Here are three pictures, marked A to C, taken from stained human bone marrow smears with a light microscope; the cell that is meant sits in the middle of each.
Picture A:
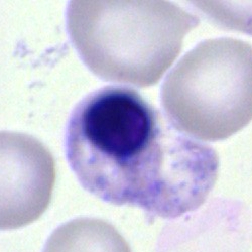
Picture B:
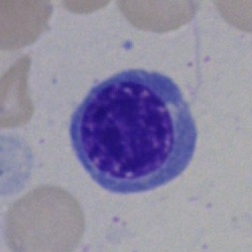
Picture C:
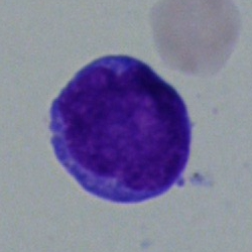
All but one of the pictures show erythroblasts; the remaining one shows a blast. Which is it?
C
